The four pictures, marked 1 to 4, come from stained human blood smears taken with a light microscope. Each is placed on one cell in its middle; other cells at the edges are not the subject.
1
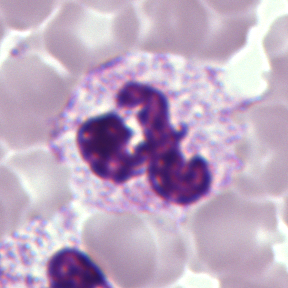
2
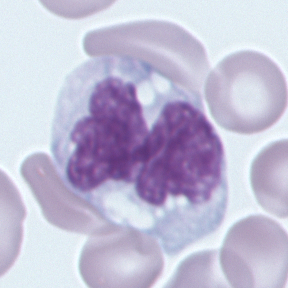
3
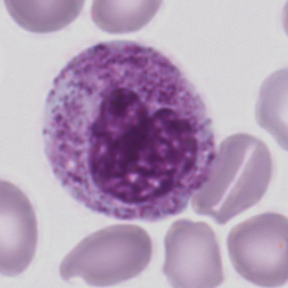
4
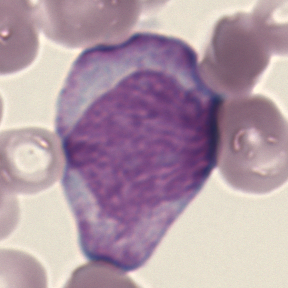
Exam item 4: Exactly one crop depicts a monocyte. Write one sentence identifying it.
It is crop 2 that shows a monocyte.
